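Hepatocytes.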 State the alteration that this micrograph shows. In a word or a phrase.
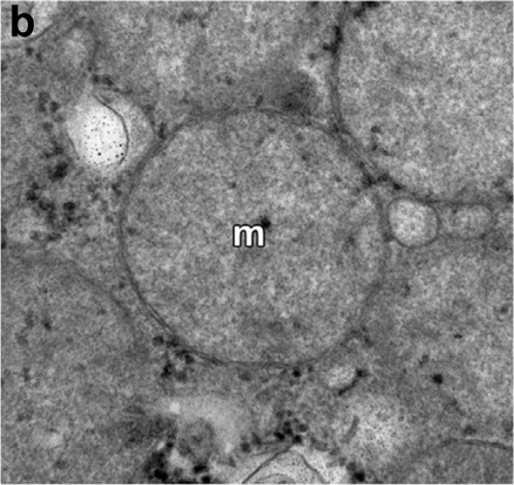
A: loss of cristae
